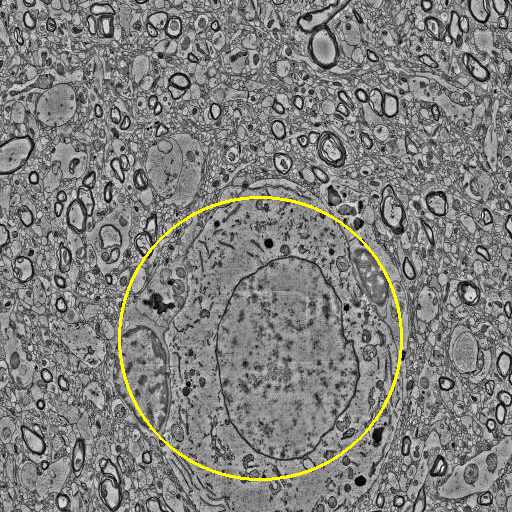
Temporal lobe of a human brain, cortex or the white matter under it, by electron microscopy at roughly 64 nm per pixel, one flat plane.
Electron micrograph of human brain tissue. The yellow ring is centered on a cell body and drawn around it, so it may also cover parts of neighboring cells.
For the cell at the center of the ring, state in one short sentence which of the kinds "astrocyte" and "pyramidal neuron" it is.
This ring is centered on a pyramidal neuron.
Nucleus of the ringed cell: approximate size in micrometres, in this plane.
Approximately 13 by 9 micrometers in this plane.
